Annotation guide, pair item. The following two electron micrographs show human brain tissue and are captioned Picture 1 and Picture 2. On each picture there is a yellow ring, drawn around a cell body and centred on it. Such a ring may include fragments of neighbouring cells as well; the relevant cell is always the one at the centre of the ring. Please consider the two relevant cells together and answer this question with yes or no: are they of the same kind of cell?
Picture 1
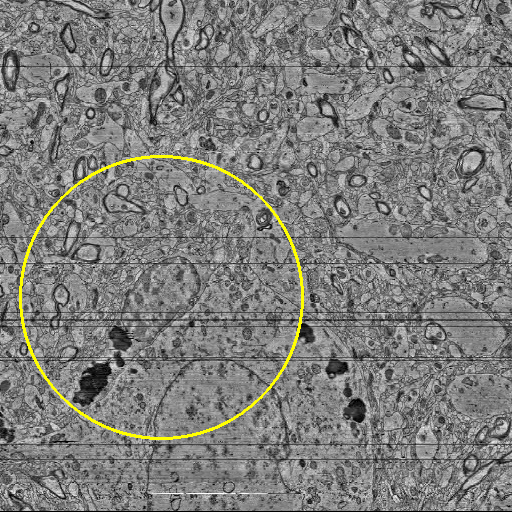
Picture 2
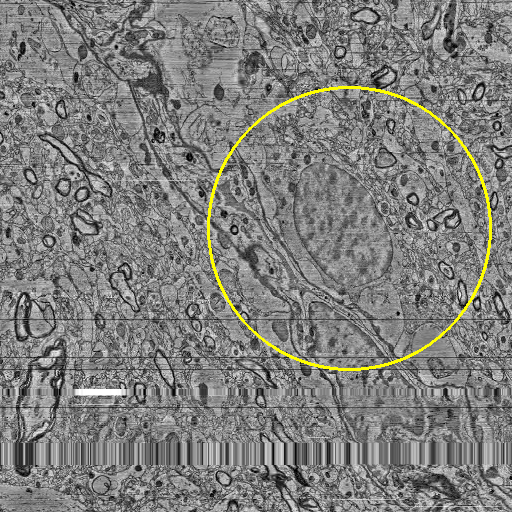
yes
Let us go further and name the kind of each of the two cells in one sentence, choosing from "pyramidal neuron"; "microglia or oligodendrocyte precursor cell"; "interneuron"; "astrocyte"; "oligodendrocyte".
Both pictures show an oligodendrocyte at the centre of the ring.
